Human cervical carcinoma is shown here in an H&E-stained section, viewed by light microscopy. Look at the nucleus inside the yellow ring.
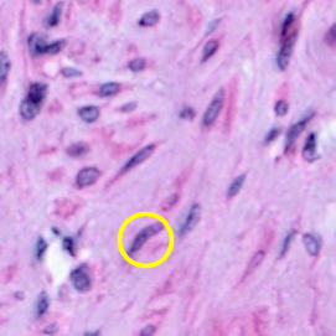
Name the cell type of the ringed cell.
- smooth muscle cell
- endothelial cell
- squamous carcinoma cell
smooth muscle cell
